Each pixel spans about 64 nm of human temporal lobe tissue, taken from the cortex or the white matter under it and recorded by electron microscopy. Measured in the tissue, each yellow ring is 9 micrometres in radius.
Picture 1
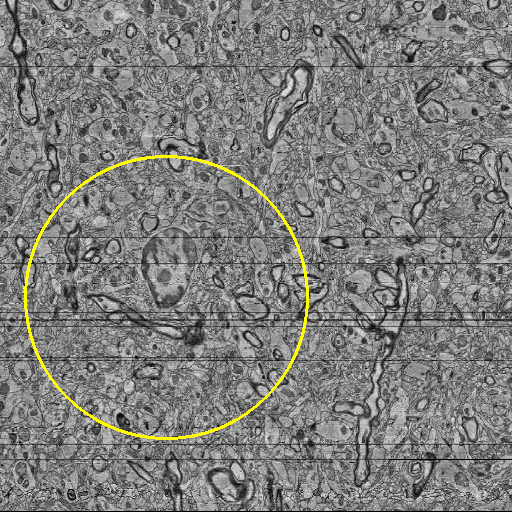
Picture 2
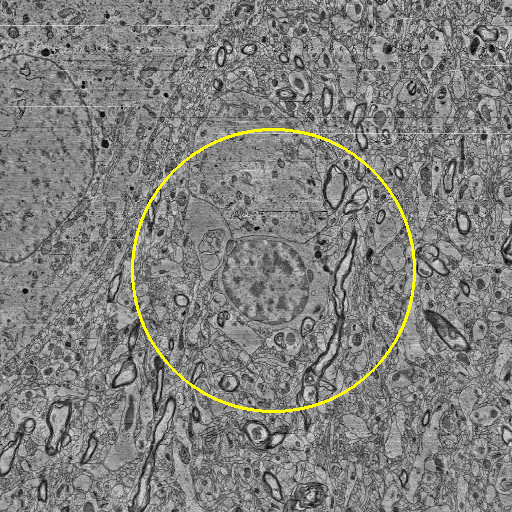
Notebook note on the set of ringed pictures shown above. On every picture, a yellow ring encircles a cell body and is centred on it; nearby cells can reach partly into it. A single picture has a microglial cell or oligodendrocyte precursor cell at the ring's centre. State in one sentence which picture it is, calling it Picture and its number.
Picture 1 is the one whose ring is centred on the sought cell.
